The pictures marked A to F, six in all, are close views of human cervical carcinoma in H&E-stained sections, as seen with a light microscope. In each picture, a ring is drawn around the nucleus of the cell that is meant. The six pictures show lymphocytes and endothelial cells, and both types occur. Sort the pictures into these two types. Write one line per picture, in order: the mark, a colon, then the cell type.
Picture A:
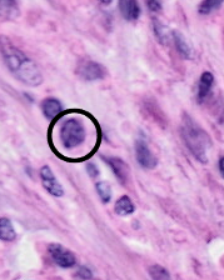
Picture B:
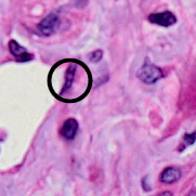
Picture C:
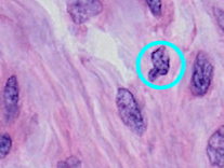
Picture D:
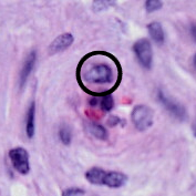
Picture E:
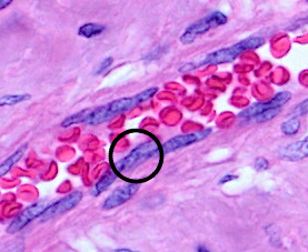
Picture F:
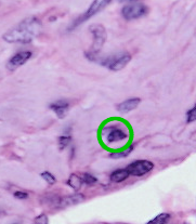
A: lymphocyte
B: endothelial cell
C: lymphocyte
D: endothelial cell
E: endothelial cell
F: lymphocyte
